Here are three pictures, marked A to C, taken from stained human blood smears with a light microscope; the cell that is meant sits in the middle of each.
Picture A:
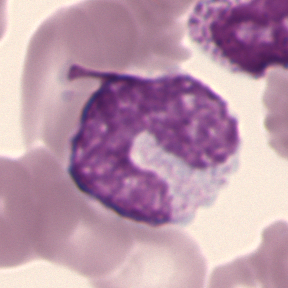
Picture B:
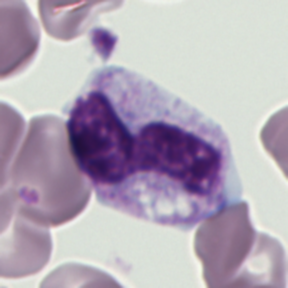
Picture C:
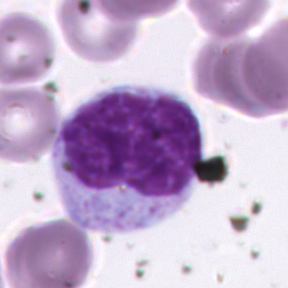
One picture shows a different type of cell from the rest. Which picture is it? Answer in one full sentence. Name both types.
The others show band neutrophils, but picture C shows a metamyelocyte.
